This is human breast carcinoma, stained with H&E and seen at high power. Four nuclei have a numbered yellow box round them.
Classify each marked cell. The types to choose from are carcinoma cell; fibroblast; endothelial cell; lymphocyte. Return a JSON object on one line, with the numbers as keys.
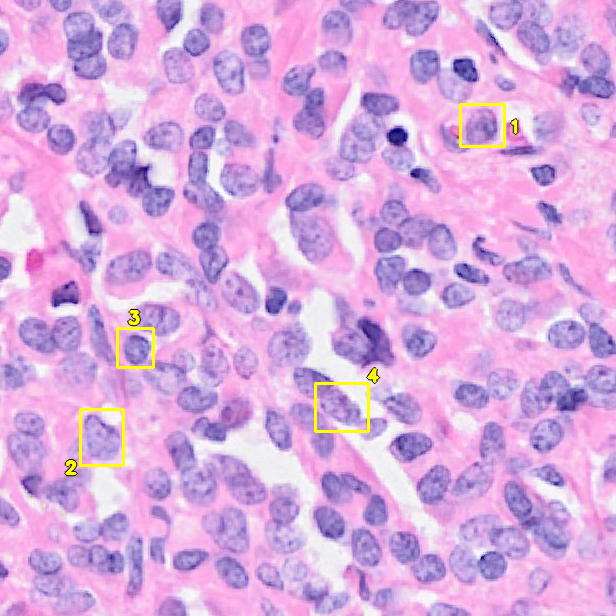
{"1": "endothelial cell", "2": "carcinoma cell", "3": "carcinoma cell", "4": "carcinoma cell"}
